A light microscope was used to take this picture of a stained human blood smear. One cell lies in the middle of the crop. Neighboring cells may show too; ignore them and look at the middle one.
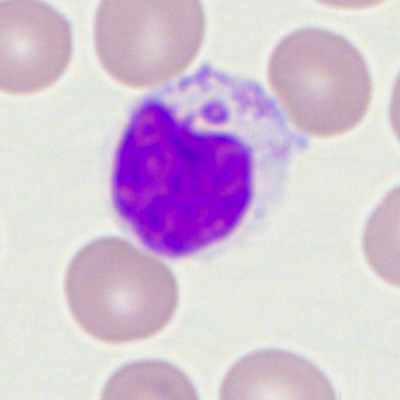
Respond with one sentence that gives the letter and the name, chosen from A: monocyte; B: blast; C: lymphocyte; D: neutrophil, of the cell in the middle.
Option C is correct in that the central cell is a lymphocyte.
